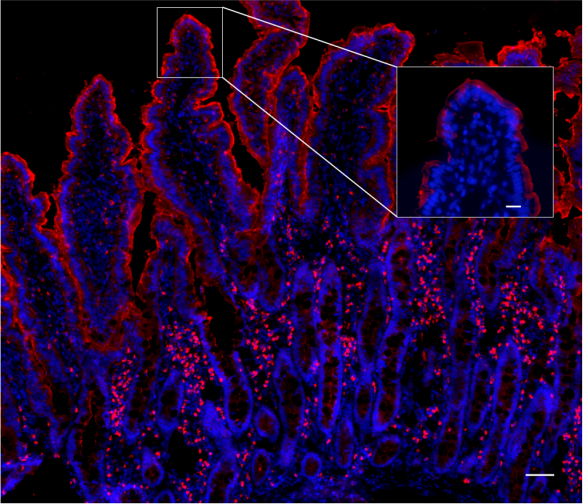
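This is small intestinal mucosa with tall finger-like villi lined by a single layer of columnar epithelial cells, and crypts at their base. A thin red line marks the lumen-facing edge of the epithelium along each villus, while the blue nuclei form a row just beneath it. The red rim is brightest toward the villus tips and fainter deeper in the mucosa. Scattered bright red dots are also present in the core of the villi and between the crypts.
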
